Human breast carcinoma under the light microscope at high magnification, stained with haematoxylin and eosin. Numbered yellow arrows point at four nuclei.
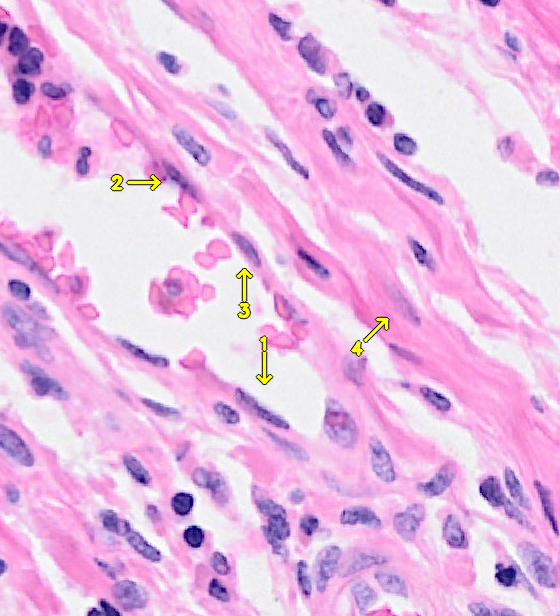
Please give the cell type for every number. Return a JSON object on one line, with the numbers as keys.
{"1": "endothelial cell", "2": "endothelial cell", "3": "endothelial cell", "4": "fibroblast"}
